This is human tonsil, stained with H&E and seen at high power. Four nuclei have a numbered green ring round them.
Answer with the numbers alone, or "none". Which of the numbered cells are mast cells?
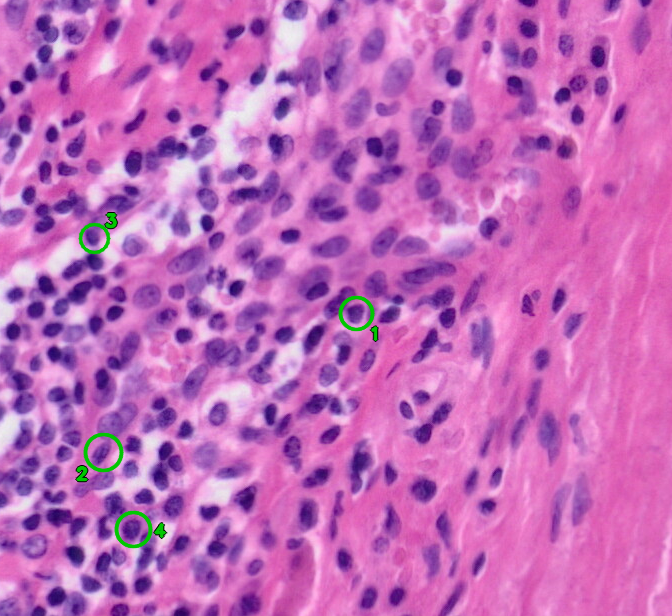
1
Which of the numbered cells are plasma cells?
4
